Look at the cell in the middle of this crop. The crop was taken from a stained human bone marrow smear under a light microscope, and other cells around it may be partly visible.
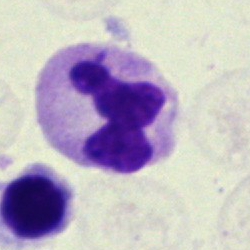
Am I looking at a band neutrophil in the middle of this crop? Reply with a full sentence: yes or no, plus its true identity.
No, the centre cell is not a band neutrophil but a segmented neutrophil.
